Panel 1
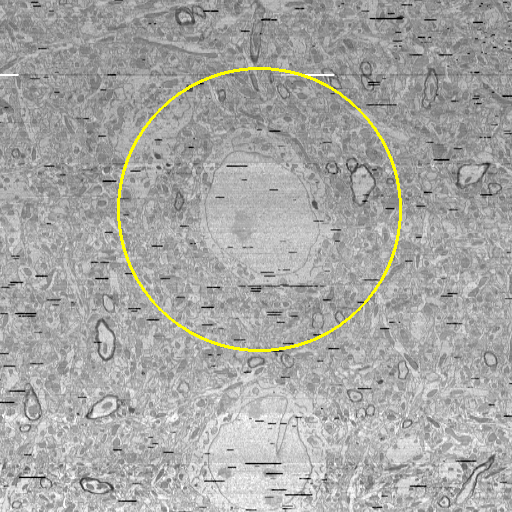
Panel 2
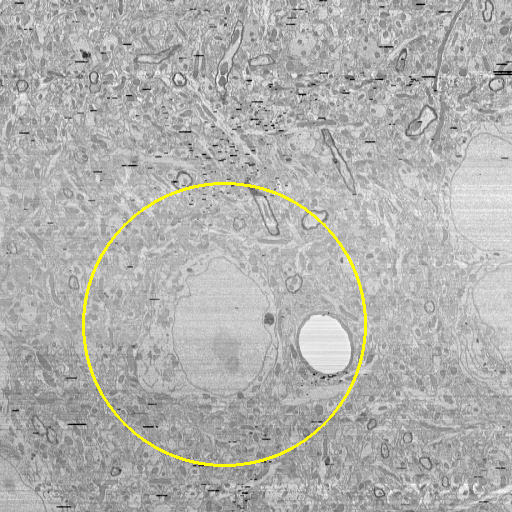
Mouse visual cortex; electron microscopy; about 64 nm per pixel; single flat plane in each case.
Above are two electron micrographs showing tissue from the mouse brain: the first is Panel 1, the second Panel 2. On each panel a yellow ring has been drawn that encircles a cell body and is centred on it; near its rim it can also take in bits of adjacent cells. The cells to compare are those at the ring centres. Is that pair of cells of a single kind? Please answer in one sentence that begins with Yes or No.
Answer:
Yes, the ring-centred cells of Panel 1 and Panel 2 belong to one kind.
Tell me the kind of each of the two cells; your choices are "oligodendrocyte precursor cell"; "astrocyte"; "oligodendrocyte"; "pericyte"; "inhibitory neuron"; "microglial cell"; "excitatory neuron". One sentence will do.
The ring centre holds an excitatory neuron in each of the two pictures.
